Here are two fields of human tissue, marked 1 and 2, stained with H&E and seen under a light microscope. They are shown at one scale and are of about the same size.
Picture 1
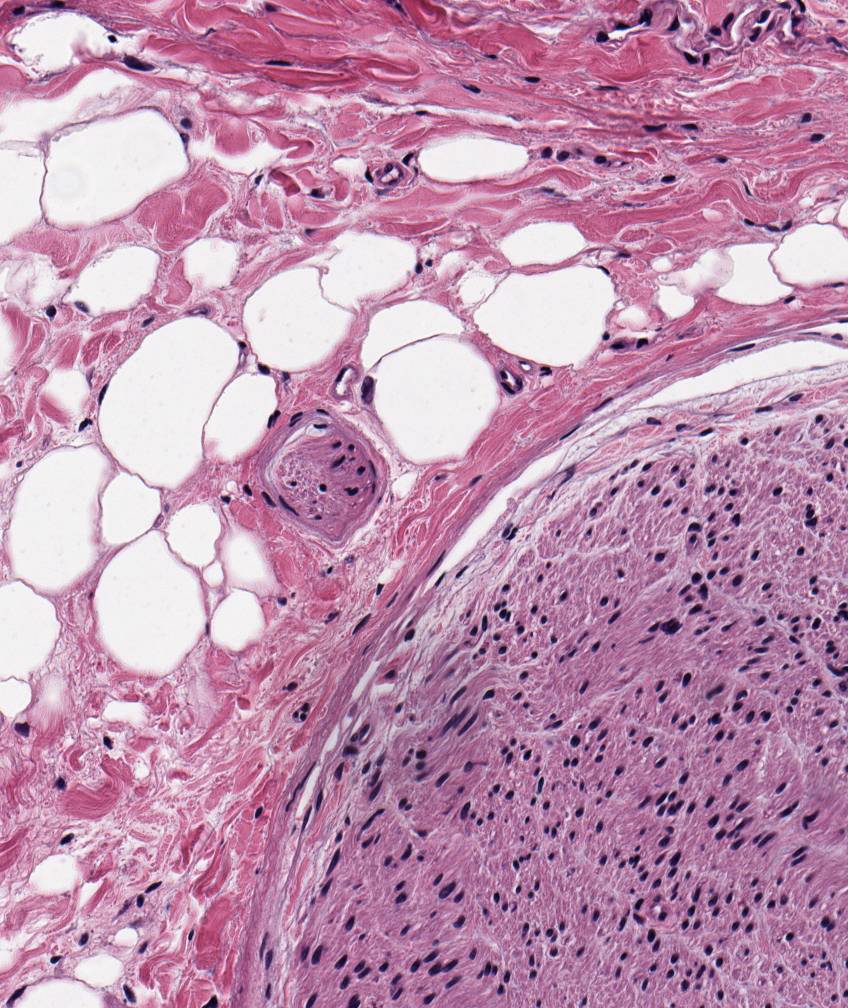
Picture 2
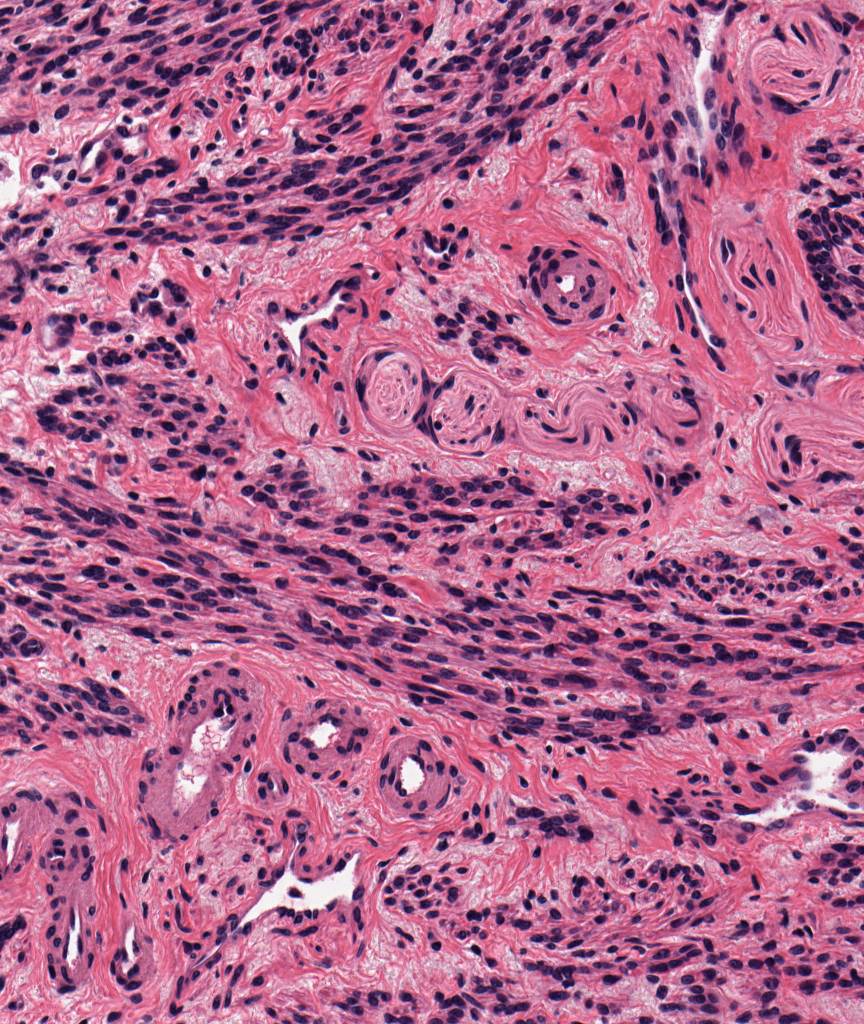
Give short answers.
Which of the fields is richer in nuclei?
2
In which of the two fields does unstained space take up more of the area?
1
